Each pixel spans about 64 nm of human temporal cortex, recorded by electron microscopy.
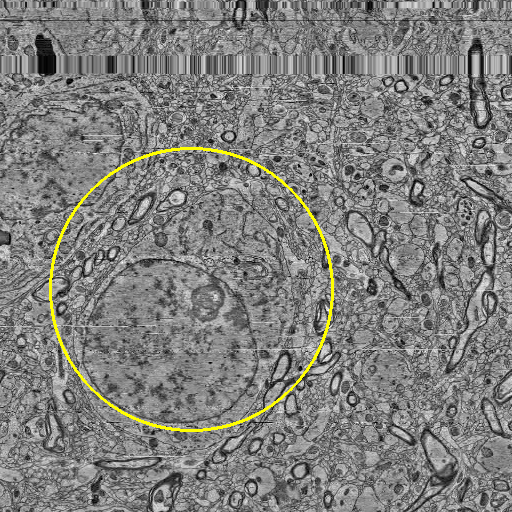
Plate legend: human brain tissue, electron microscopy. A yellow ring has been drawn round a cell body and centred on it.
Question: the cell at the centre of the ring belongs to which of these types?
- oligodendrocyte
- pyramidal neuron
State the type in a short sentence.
The cell in the middle of the ring is a pyramidal neuron.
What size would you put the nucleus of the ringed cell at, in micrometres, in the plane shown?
Approximately 11 micrometres across in this plane.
